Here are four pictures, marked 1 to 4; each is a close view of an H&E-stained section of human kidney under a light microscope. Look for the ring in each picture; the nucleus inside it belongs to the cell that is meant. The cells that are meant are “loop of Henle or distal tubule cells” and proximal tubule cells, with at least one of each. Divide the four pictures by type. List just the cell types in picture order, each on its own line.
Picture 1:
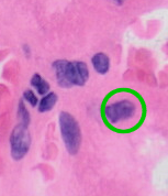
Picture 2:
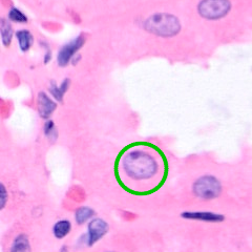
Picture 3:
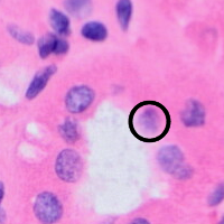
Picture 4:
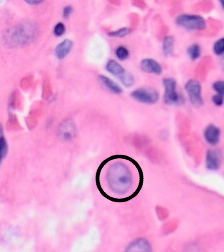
proximal tubule cell
proximal tubule cell
loop of Henle or distal tubule cell
proximal tubule cell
